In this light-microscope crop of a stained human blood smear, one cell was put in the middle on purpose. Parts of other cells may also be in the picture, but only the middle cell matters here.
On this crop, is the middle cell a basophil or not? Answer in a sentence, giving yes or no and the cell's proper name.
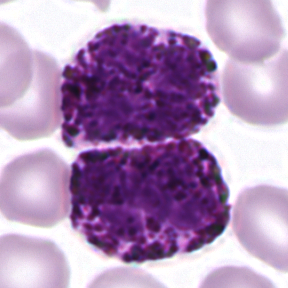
Yes, in this crop the cell in the middle is a basophil.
